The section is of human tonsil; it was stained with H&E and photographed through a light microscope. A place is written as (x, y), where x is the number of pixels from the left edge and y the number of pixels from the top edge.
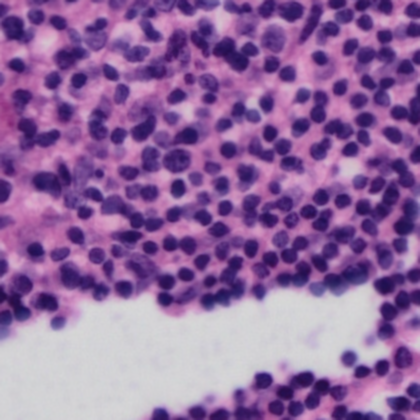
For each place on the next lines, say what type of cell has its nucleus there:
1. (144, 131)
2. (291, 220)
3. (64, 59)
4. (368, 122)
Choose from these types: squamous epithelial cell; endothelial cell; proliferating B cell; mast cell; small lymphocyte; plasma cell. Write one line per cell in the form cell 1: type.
cell 1: proliferating B cell
cell 2: small lymphocyte
cell 3: proliferating B cell
cell 4: small lymphocyte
